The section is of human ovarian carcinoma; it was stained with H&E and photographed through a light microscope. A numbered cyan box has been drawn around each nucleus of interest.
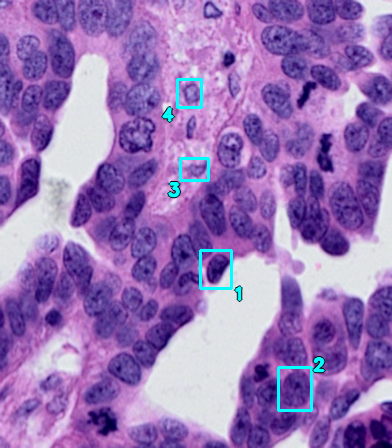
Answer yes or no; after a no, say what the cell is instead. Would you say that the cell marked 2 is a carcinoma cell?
Yes.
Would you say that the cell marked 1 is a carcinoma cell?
Yes.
